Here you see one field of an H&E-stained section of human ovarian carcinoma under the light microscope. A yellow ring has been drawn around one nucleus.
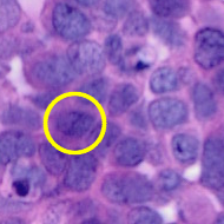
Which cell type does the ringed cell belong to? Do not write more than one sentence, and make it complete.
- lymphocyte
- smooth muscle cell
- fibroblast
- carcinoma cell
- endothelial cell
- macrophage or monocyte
With respect to cell type, the ringed cell is a carcinoma cell.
